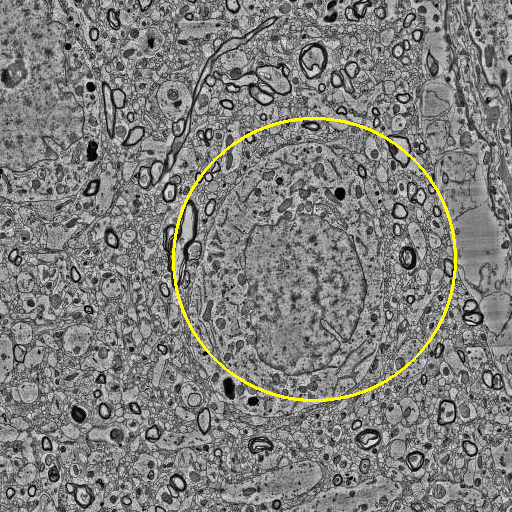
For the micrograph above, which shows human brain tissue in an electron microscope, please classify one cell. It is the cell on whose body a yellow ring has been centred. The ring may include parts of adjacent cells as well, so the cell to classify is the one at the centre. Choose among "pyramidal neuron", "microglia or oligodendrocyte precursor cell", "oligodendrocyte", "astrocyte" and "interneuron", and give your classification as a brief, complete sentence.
I classify this cell as an interneuron.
